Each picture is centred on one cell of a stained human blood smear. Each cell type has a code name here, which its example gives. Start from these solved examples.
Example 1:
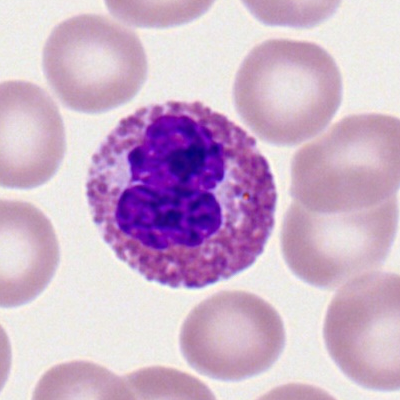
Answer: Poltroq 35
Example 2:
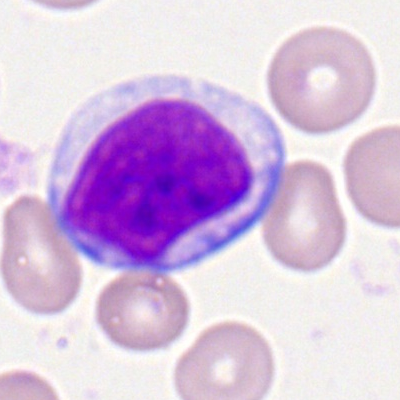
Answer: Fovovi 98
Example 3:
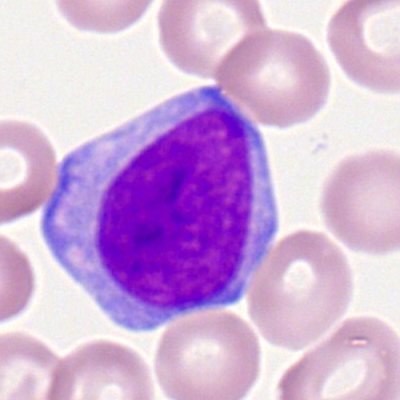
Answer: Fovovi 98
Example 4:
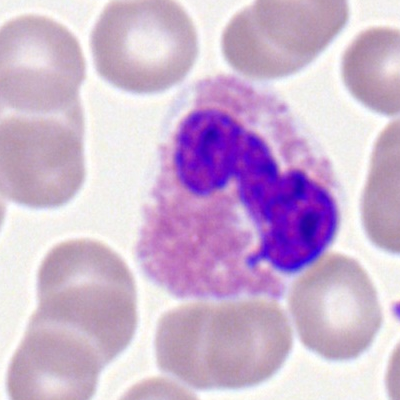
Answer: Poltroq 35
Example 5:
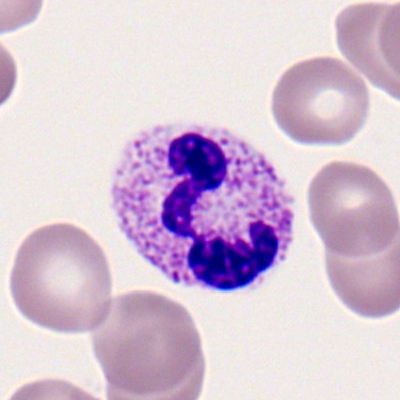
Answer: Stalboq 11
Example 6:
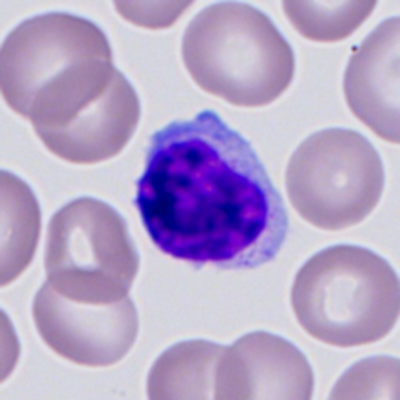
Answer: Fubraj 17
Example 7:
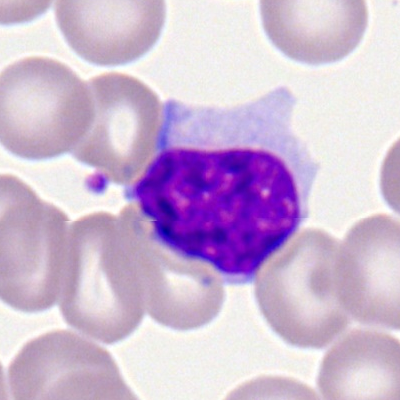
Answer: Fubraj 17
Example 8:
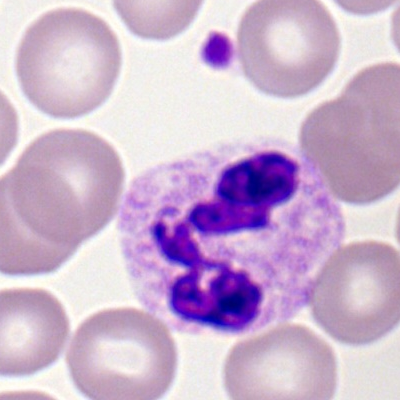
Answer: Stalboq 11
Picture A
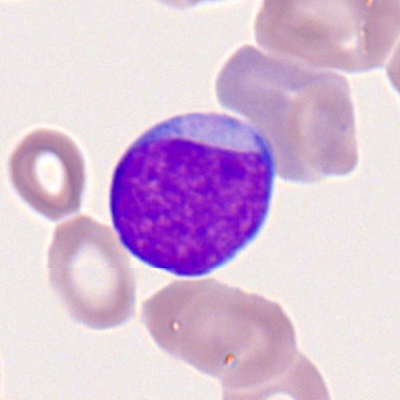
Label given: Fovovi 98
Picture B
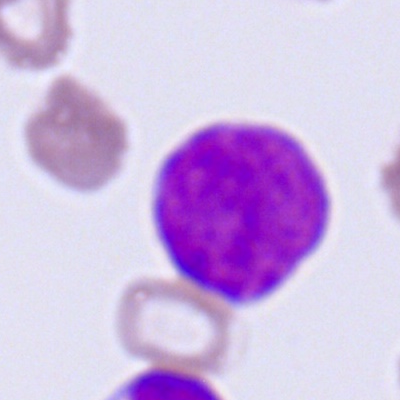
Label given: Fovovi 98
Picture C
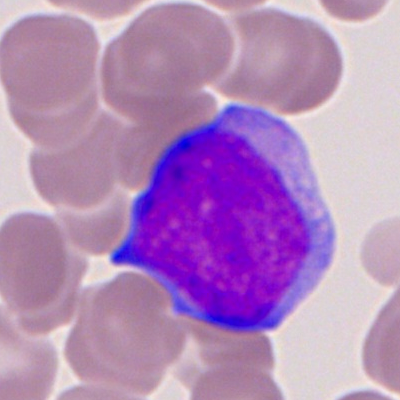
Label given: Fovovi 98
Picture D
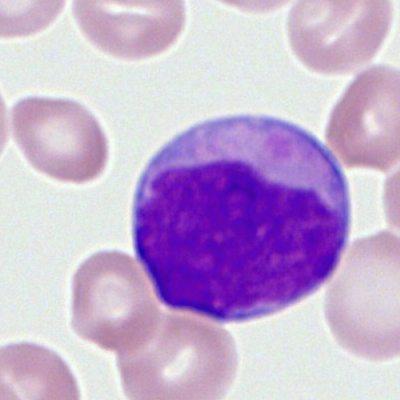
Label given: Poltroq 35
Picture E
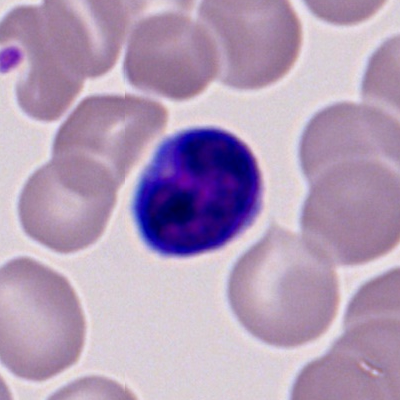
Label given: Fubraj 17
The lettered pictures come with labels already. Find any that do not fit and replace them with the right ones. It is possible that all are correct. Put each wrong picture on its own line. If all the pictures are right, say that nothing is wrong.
D: Fovovi 98, not Poltroq 35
